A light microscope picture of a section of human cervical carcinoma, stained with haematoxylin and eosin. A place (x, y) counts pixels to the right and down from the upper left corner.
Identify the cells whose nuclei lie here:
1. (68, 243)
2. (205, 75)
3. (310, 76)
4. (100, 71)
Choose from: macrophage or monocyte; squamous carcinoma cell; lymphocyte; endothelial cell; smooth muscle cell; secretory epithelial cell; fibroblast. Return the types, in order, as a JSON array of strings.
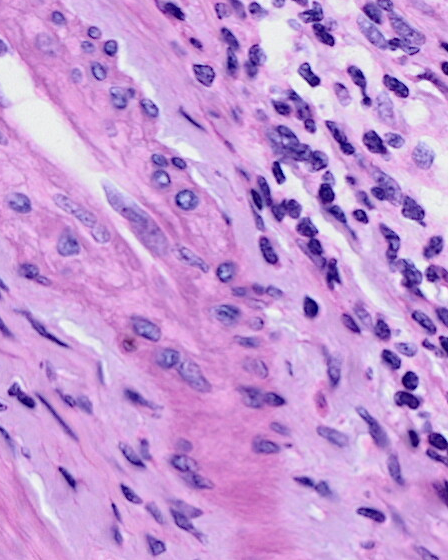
["smooth muscle cell", "lymphocyte", "lymphocyte", "smooth muscle cell"]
